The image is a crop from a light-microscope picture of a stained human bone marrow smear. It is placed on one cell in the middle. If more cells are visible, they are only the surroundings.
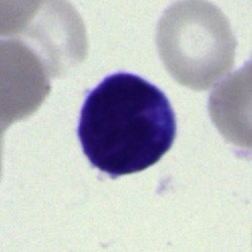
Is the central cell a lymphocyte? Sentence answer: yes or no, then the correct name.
No, this one is a blast; it is not a lymphocyte.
